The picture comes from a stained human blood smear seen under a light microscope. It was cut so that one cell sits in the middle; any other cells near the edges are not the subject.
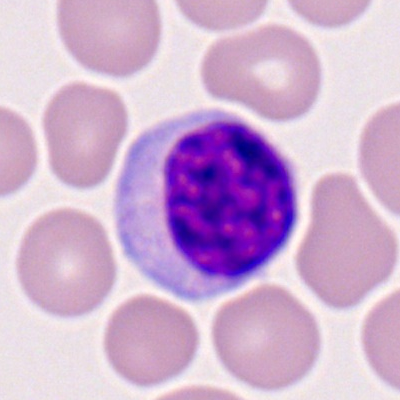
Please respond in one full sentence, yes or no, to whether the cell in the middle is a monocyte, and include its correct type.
No, the cell placed in the centre is a lymphocyte and is not a monocyte.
